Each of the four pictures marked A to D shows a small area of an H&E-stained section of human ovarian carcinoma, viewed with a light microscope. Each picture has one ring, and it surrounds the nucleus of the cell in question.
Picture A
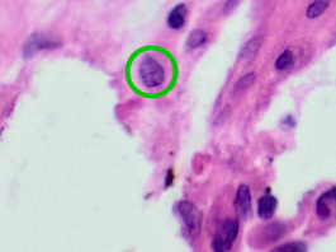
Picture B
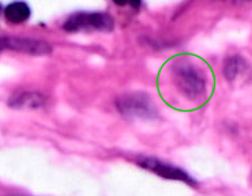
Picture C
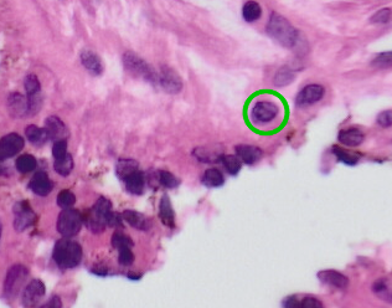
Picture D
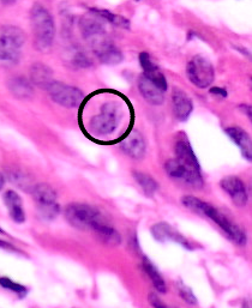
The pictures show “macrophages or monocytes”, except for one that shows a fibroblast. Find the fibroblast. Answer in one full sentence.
The picture with the fibroblast is B.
